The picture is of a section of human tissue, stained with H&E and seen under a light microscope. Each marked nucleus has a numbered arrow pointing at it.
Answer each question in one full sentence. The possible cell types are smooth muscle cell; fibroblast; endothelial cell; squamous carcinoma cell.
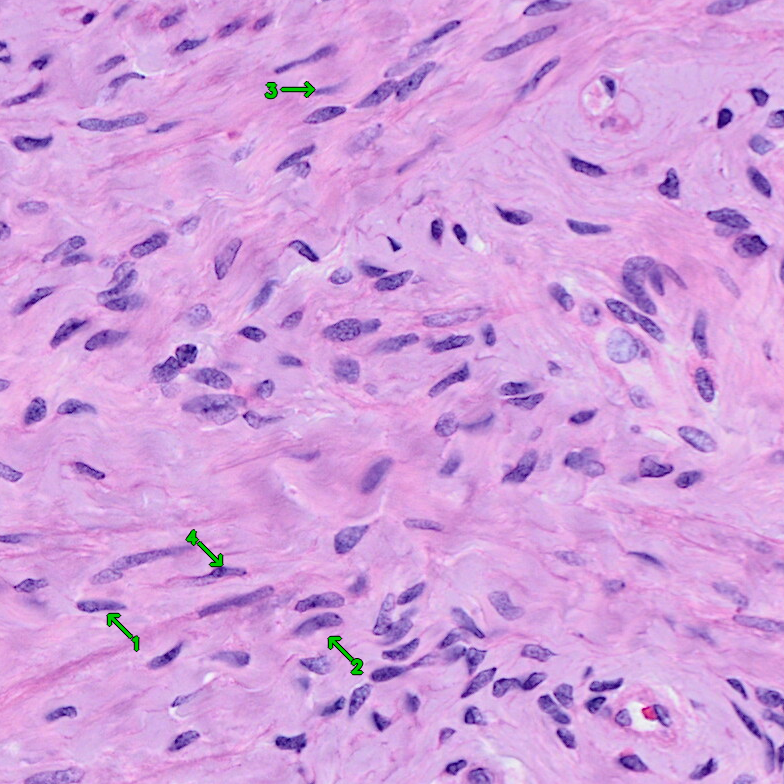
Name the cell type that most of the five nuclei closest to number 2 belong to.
Most of the five nuclei nearest to number 2 are those of fibroblasts.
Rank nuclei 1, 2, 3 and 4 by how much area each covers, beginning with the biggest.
The nuclei rank 2, 1, 4, 3, from largest to smallest.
